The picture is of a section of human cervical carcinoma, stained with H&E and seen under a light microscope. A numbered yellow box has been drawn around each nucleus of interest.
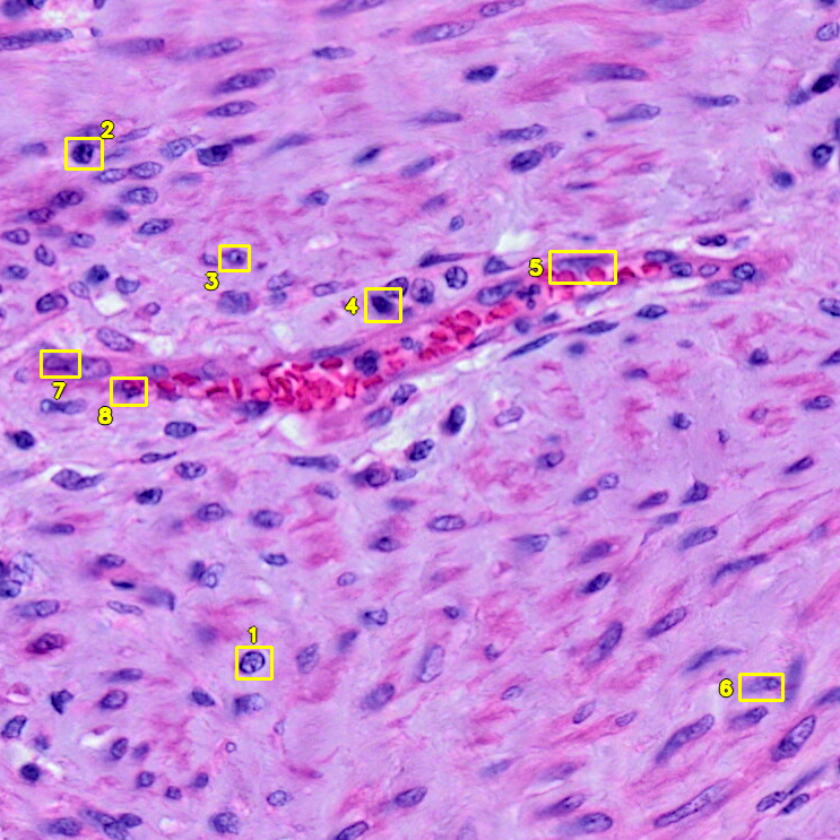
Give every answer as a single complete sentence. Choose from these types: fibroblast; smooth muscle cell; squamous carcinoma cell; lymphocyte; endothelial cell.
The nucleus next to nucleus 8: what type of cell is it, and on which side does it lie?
The nearest nucleus is that of an endothelial cell and lies above and to the right of nucleus 8.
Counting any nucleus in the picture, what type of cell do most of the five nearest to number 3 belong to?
Fibroblasts make up most of the five nuclei closest to number 3.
